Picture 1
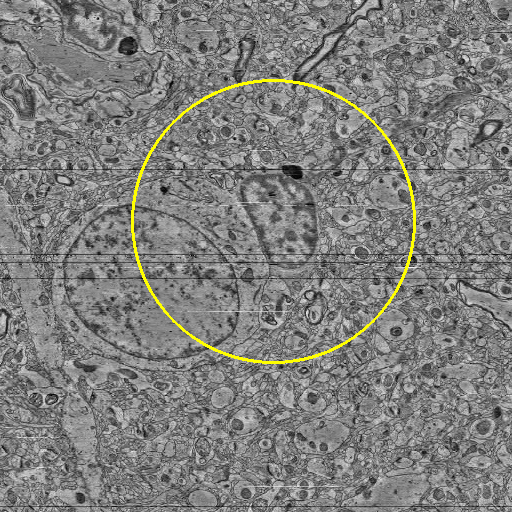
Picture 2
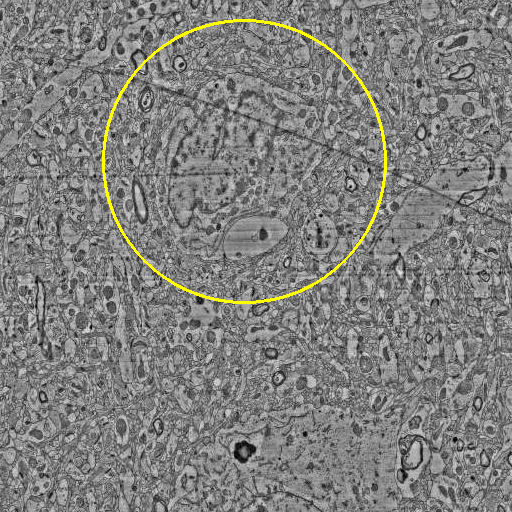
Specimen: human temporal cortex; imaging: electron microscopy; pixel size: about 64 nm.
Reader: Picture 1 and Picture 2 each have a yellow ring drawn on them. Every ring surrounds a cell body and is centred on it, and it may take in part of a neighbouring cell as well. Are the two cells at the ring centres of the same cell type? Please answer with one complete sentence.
No, the cells are of two cell types.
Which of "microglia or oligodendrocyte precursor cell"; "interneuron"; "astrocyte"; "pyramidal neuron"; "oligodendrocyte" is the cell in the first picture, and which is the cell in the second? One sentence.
The two differ: the first cell is an oligodendrocyte and the second is an interneuron.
